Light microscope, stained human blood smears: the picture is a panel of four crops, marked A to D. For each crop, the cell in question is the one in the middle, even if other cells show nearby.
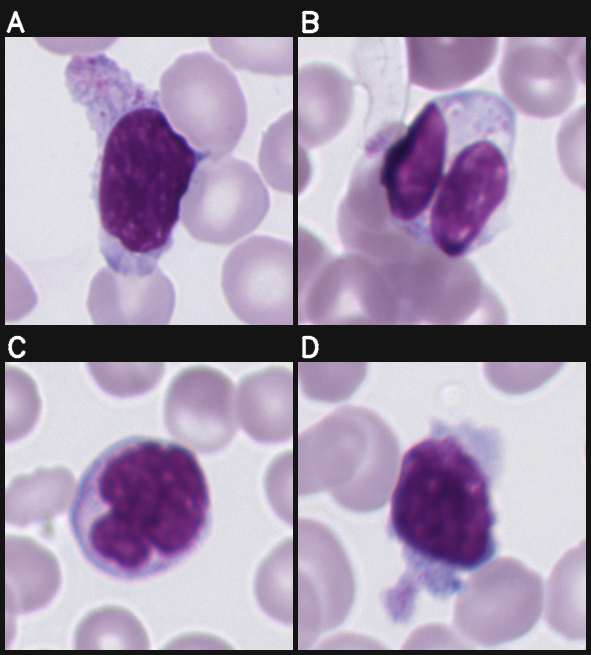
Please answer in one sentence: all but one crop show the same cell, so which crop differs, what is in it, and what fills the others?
Crop D differs, its cell being a typical lymphocyte, whereas the other crops show large granular lymphocytes.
